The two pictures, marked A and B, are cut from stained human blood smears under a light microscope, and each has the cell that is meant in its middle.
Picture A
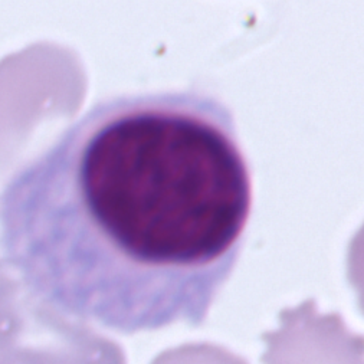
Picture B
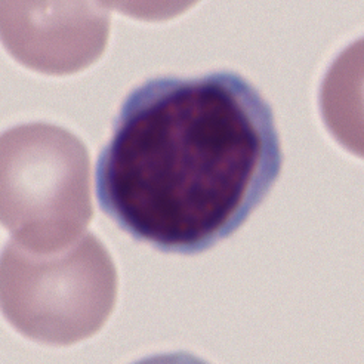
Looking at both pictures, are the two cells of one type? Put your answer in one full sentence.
No. Picture A shows a hairy cell, but picture B shows a typical lymphocyte.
